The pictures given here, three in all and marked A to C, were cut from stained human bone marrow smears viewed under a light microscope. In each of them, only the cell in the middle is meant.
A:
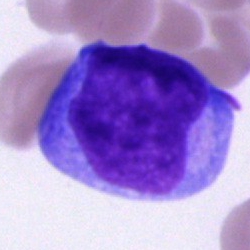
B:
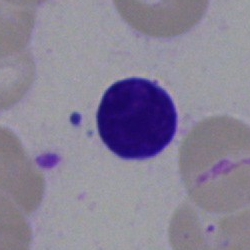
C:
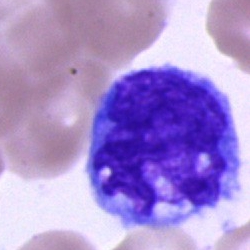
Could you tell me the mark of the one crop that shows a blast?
A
